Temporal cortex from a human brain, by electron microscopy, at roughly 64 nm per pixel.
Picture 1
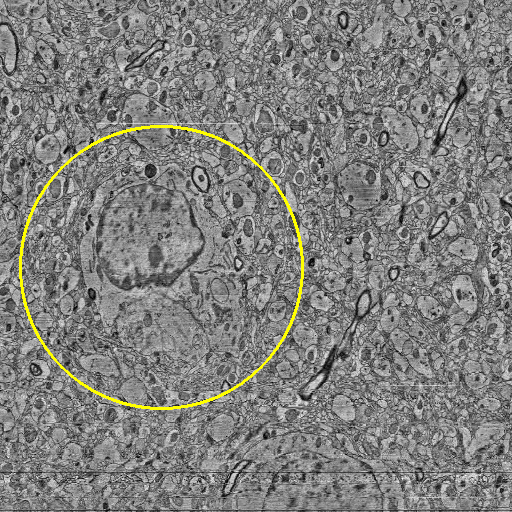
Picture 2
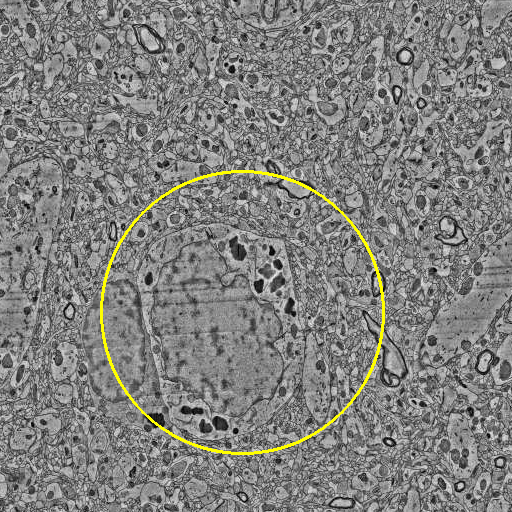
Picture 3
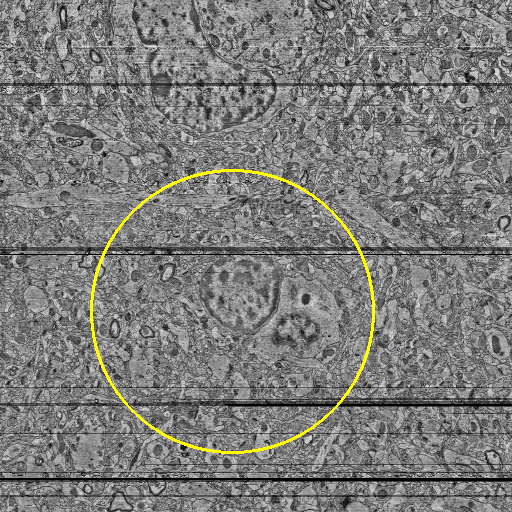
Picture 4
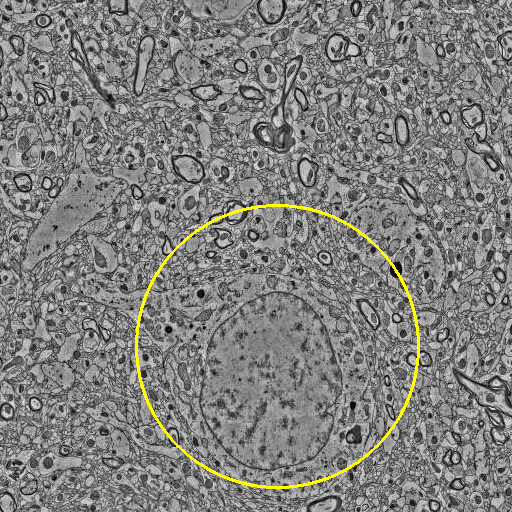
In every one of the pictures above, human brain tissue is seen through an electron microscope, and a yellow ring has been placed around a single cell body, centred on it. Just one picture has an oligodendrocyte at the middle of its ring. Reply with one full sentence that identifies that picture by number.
It is picture 3 that shows the wanted cell at its ring's centre.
